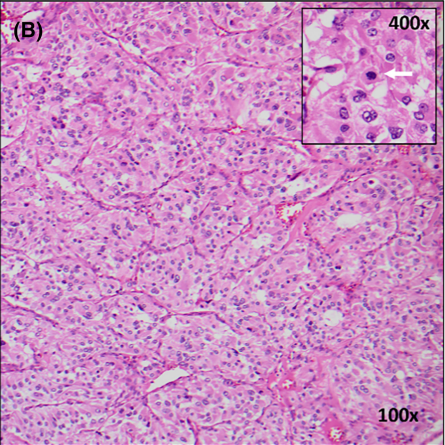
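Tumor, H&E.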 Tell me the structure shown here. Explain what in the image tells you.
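Tumor cells form rounded nests. Nests are separated by thin delicate fibrovascular septa. So: “zellballen” architecture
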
